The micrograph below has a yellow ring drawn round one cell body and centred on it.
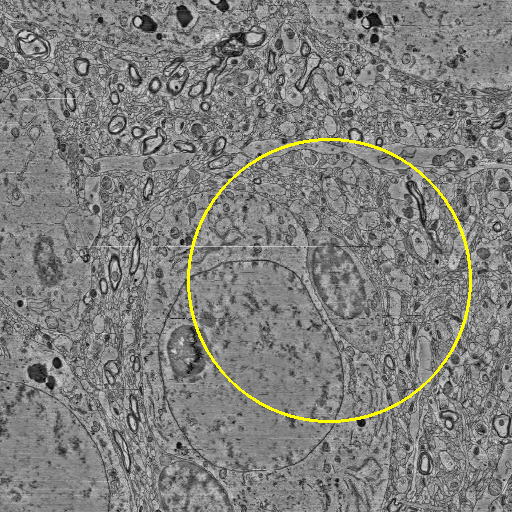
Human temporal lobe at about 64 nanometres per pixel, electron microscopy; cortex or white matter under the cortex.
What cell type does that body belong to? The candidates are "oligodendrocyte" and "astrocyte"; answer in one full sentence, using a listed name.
This is an oligodendrocyte, the cell whose body lies at the centre of the ring.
